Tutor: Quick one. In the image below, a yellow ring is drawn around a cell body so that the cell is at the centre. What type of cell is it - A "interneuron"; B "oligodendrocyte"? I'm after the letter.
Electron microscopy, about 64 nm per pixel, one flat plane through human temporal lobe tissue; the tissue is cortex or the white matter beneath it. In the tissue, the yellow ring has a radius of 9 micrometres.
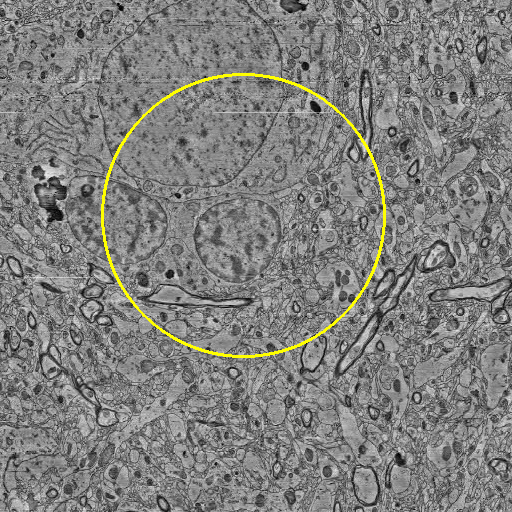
B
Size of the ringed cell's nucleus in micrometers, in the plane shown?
In this plane, the nucleus of the cell at the centre of the ring is about 5 micrometres across.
